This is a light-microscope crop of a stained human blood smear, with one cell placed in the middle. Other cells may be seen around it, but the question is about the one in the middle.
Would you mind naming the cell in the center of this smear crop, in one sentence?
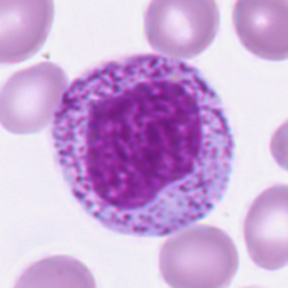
The centrally located cell in the crop is a myelocyte.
